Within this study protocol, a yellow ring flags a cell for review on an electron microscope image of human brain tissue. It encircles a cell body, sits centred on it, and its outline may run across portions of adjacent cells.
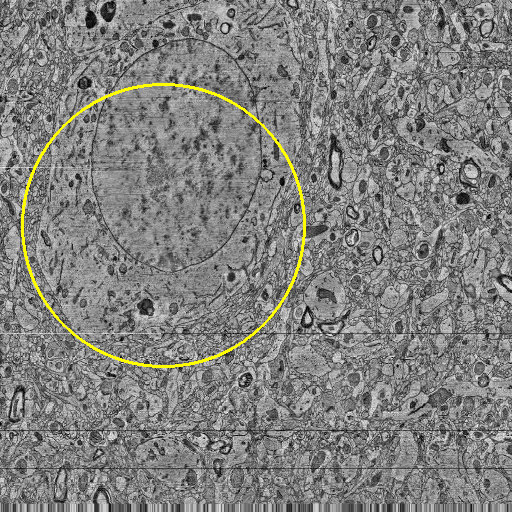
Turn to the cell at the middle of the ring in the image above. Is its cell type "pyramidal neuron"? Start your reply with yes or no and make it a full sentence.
Yes, the cell at the ring's centre in the image above has that cell type.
